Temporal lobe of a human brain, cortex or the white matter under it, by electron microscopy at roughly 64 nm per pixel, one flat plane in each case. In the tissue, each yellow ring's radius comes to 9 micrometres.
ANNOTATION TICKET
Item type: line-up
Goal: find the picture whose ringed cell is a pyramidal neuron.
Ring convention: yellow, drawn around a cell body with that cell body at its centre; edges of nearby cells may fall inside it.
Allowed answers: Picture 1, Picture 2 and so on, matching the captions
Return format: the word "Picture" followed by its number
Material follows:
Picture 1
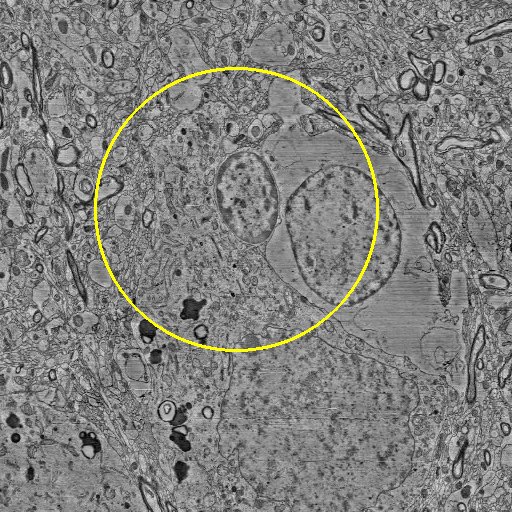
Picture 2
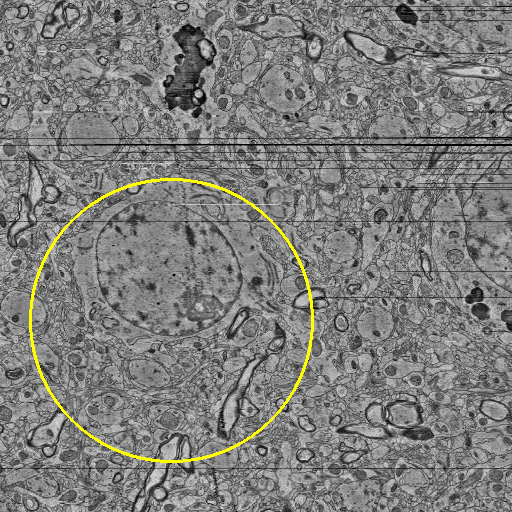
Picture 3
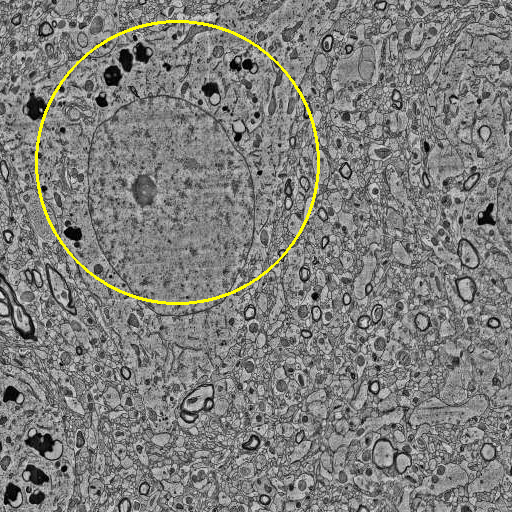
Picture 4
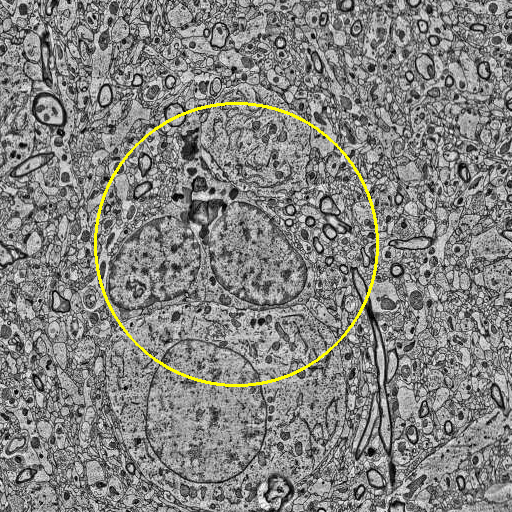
Picture 3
